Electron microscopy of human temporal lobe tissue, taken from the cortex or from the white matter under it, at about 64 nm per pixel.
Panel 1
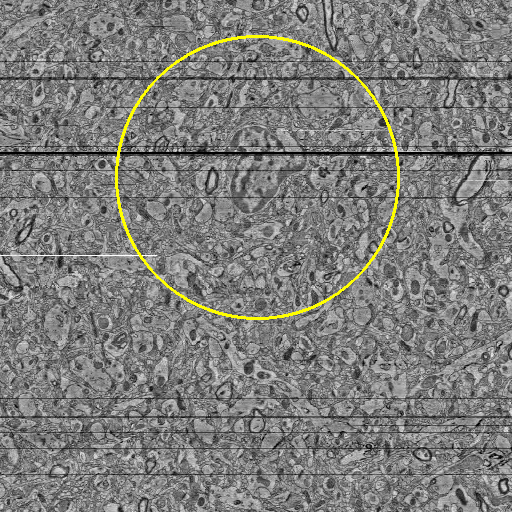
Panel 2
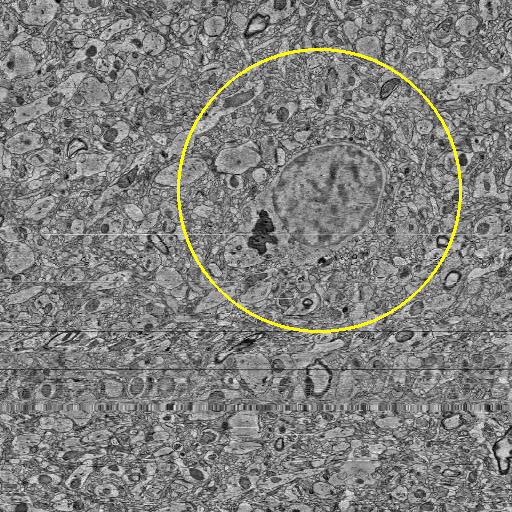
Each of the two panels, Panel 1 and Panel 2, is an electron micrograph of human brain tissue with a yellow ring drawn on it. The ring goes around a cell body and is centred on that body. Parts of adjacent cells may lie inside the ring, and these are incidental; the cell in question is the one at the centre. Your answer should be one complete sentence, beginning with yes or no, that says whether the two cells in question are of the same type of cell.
No, the two cells are of two types.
